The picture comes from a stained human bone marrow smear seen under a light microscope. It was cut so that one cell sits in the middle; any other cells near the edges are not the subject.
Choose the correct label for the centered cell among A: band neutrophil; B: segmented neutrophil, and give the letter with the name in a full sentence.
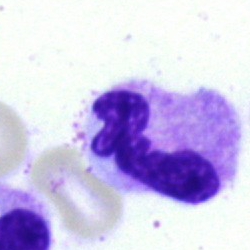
With the cell in the middle being a segmented neutrophil, option B is the correct choice.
